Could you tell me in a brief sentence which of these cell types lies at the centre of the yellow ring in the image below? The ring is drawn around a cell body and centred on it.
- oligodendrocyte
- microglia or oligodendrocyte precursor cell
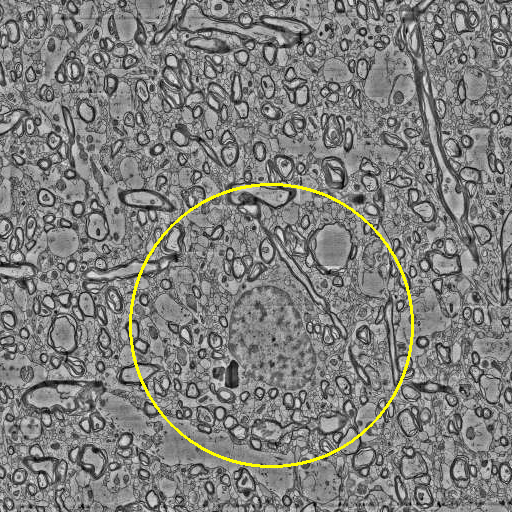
The cell centred in the ring is an oligodendrocyte.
